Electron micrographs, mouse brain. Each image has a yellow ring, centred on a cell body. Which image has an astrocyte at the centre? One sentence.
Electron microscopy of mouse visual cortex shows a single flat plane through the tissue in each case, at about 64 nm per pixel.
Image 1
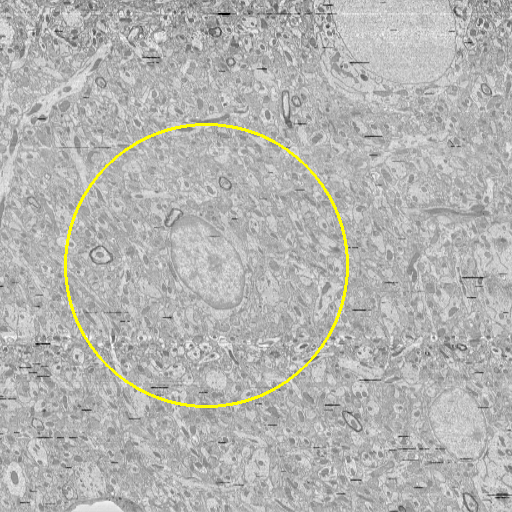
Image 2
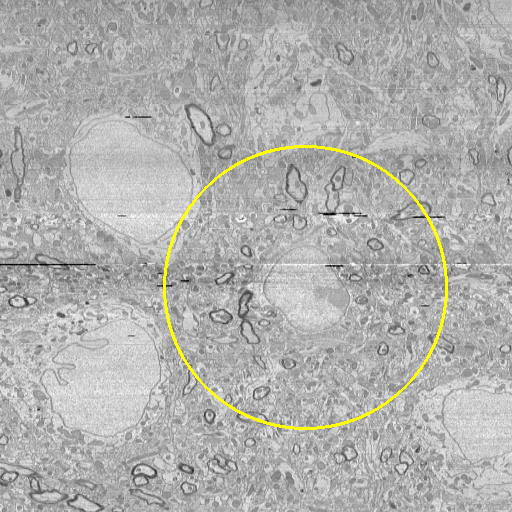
The ring in Image 2 is centred on it.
